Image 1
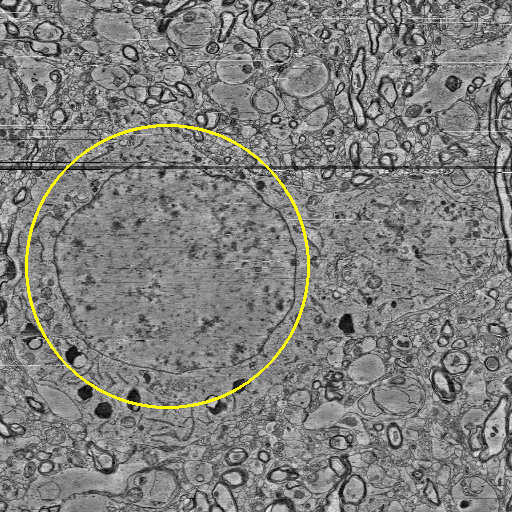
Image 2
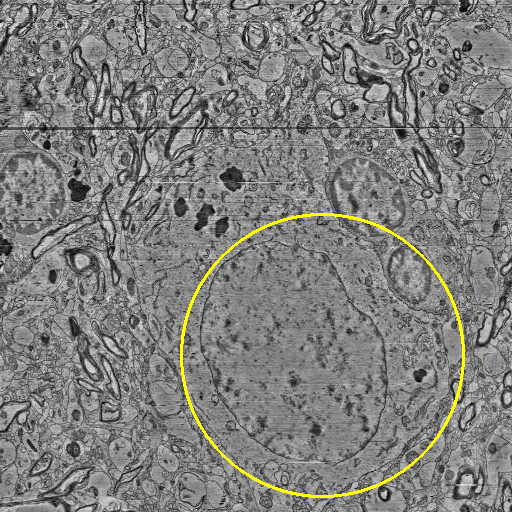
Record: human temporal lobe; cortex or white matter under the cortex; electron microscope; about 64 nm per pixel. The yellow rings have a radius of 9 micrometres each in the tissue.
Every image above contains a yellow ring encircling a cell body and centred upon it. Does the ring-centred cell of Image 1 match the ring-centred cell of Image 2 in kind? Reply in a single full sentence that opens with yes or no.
Yes, the cell at the ring's centre in Image 1 is the same kind as that in Image 2.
